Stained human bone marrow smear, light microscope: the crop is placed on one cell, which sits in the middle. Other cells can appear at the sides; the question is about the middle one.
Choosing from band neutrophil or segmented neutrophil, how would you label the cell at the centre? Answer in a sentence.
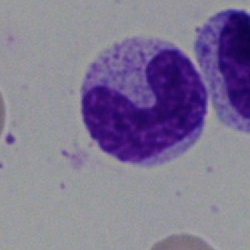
The cell at the heart of this crop is a band neutrophil.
